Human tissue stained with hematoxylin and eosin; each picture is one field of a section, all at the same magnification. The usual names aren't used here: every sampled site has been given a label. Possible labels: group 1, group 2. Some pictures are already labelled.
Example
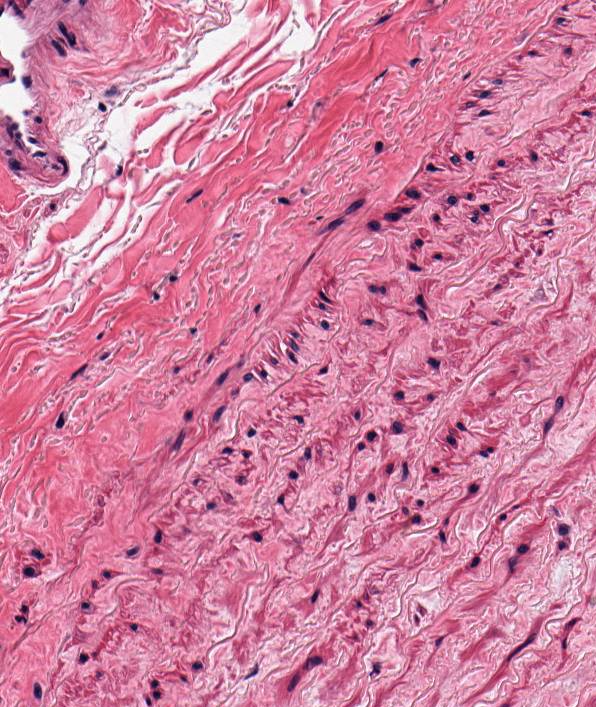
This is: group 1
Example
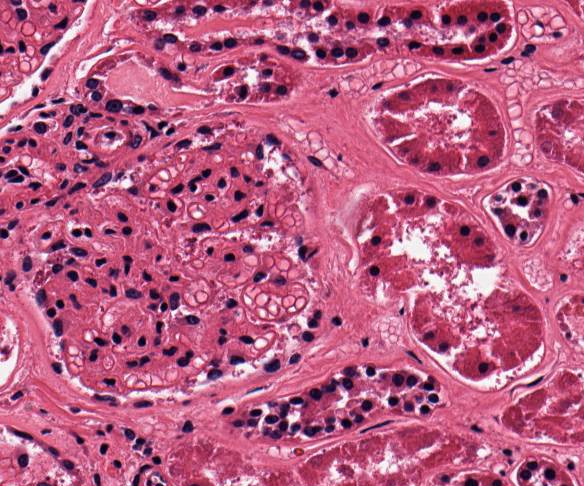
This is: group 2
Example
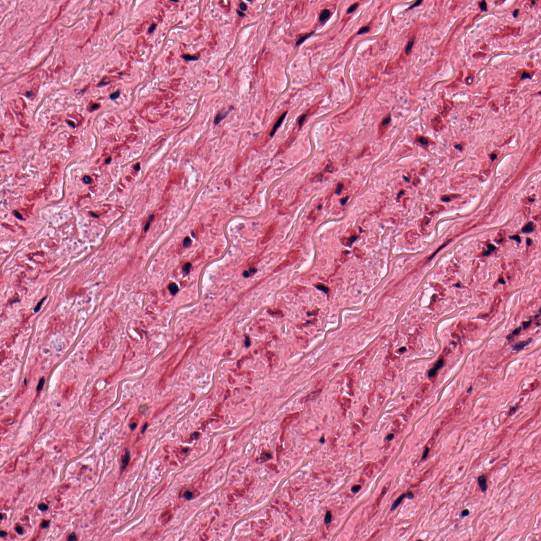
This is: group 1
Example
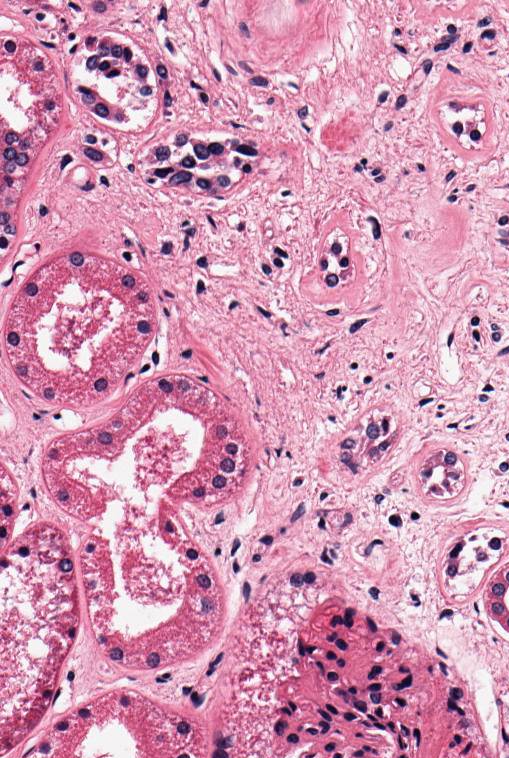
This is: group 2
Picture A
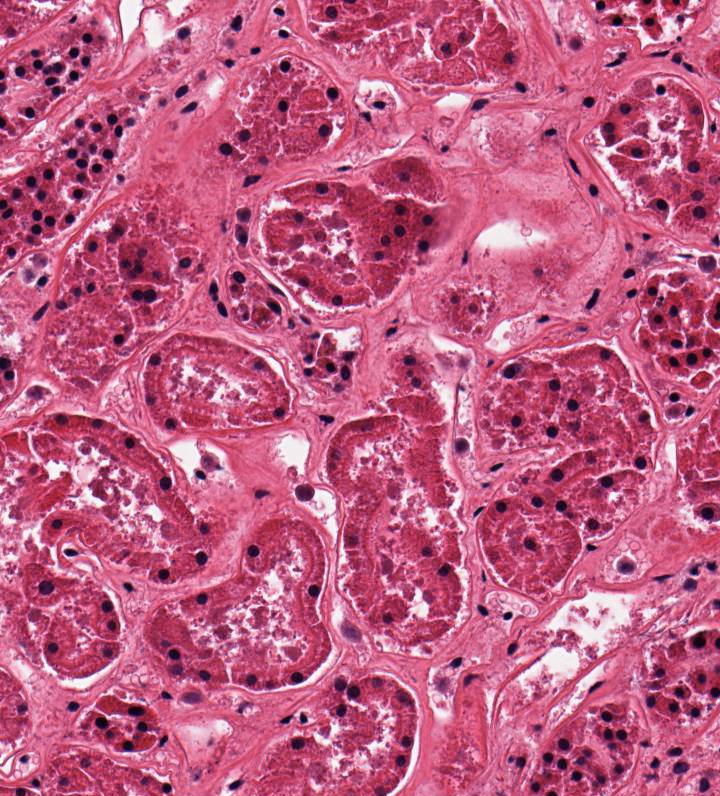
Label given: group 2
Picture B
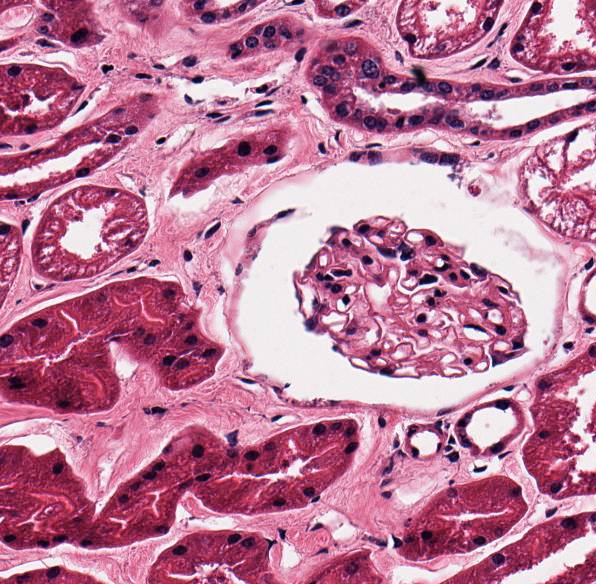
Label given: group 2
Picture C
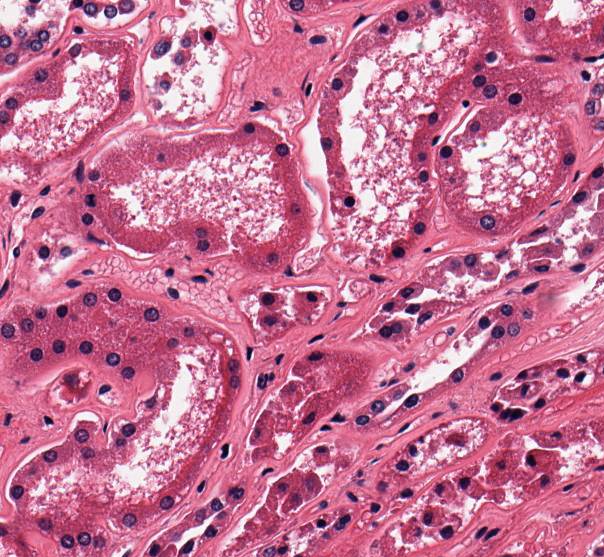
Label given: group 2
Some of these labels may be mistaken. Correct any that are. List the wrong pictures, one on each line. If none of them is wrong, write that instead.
All labels are correct.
